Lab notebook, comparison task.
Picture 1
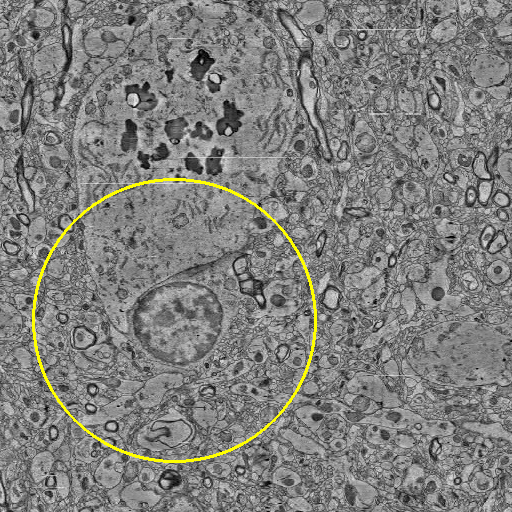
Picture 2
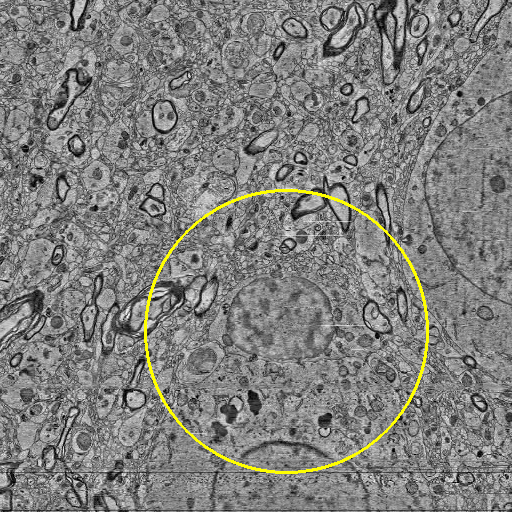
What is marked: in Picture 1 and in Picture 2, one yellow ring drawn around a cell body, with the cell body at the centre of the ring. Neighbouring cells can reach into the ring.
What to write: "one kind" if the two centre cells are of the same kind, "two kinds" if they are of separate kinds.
one kind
